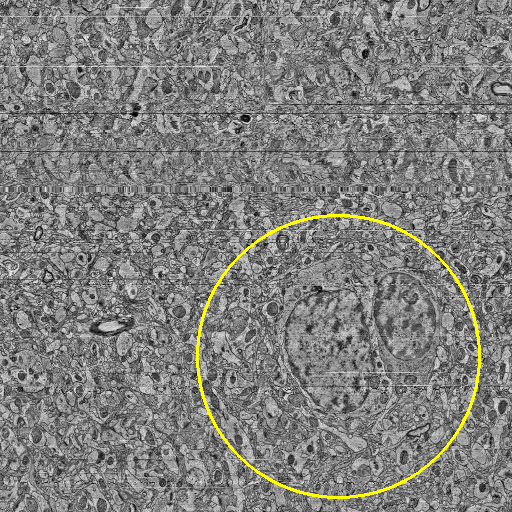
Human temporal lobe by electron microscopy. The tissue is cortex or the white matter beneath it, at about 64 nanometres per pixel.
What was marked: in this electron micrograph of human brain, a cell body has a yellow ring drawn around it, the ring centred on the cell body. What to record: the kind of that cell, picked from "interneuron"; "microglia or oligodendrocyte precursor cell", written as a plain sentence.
The centred cell is an interneuron.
